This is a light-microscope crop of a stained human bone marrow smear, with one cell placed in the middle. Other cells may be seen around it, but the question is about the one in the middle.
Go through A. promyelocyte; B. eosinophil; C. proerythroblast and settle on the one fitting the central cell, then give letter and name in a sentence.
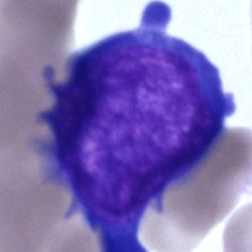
What option C states is correct, the central cell being a proerythroblast.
